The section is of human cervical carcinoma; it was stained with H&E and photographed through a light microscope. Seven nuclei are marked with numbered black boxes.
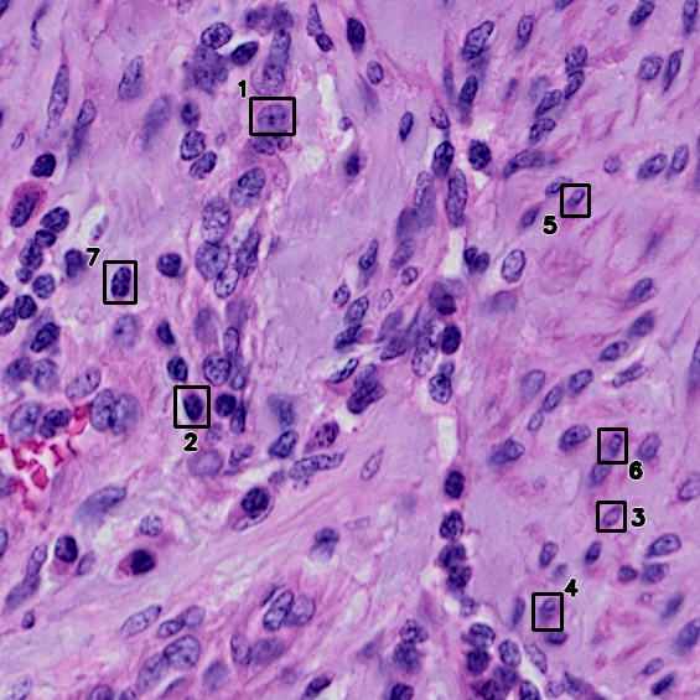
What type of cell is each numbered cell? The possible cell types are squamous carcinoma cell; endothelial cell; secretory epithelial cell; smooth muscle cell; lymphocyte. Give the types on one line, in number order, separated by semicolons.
endothelial cell; lymphocyte; smooth muscle cell; smooth muscle cell; smooth muscle cell; smooth muscle cell; lymphocyte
